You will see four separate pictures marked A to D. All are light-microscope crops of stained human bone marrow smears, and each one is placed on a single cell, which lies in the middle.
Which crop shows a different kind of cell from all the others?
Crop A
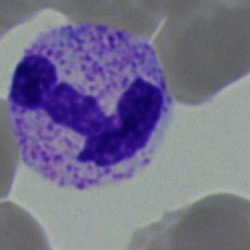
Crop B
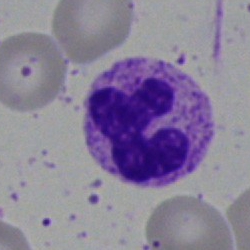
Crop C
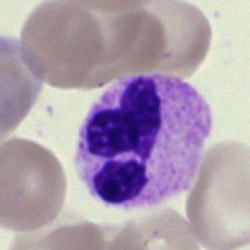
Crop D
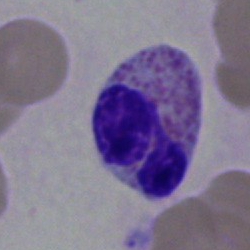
D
